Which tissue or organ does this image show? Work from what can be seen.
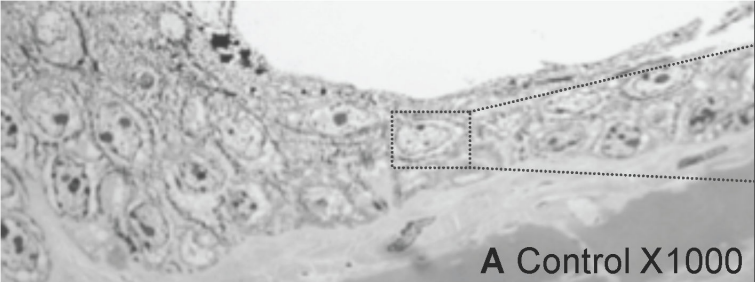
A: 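Epidermis. Closely packed cells with round to oval nuclei and visible nucleoli. Cells lie in a layer along a surface, flattening toward one side.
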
